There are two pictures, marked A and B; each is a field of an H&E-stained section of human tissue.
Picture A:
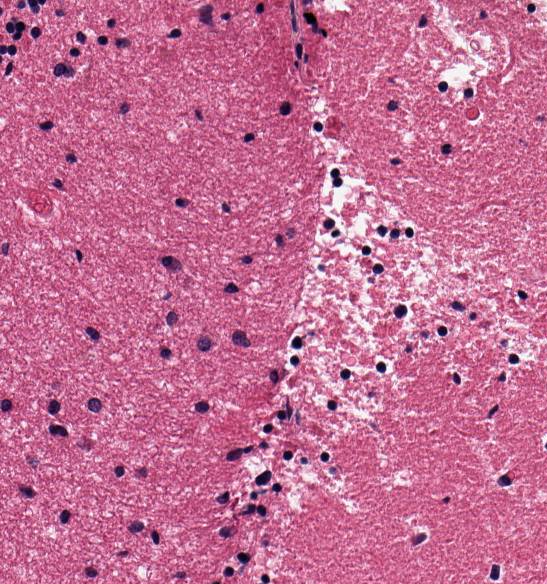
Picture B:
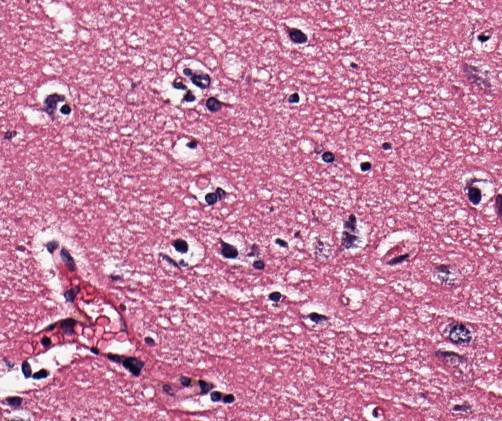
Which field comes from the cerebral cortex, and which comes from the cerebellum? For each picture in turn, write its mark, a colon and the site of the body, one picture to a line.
A: cerebellum
B: cerebral cortex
